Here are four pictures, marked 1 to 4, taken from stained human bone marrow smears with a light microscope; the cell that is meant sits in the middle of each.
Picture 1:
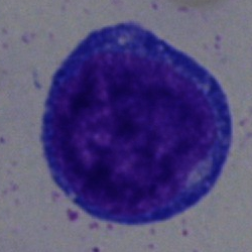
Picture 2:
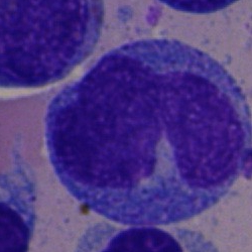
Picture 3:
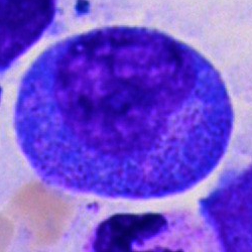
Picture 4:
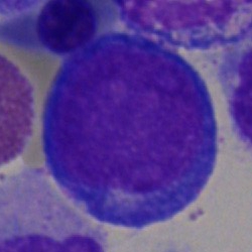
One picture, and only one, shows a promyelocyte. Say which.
3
